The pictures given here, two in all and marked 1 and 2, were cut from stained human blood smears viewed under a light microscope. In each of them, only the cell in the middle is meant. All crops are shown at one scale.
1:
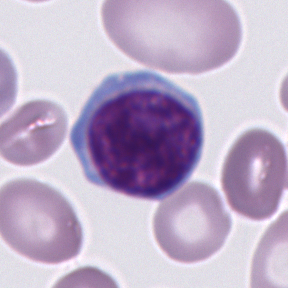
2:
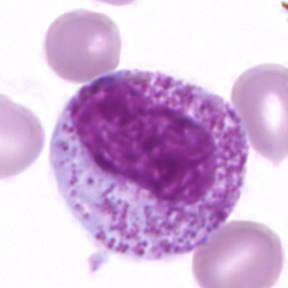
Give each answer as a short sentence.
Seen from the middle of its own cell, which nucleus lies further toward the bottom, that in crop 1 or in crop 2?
It is the nucleus in crop 1 that lies further toward the bottom of its cell.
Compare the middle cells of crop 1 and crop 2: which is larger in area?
Larger is the cell in crop 2, at roughly 2 times the area of the other.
